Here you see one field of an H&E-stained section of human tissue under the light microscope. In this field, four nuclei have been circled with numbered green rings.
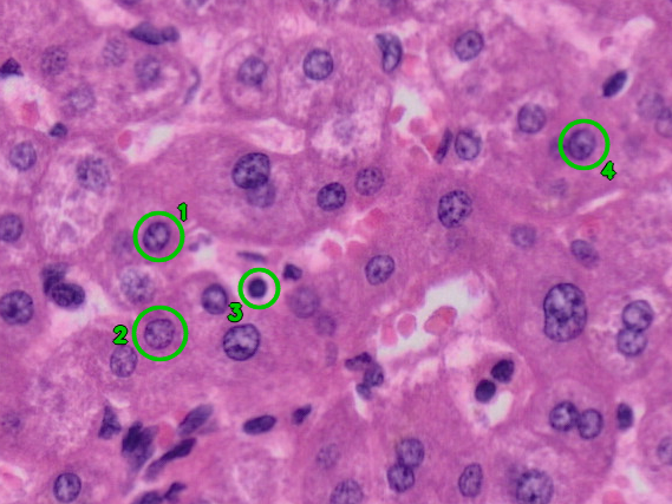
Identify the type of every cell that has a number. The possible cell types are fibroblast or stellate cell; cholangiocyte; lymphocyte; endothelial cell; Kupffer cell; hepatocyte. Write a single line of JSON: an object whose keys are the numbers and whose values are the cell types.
{"1": "hepatocyte", "2": "hepatocyte", "3": "lymphocyte", "4": "hepatocyte"}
